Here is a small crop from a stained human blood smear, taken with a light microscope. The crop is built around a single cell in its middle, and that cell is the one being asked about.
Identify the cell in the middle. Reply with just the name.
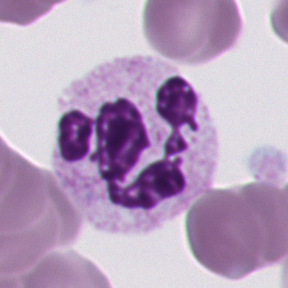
neutrophil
